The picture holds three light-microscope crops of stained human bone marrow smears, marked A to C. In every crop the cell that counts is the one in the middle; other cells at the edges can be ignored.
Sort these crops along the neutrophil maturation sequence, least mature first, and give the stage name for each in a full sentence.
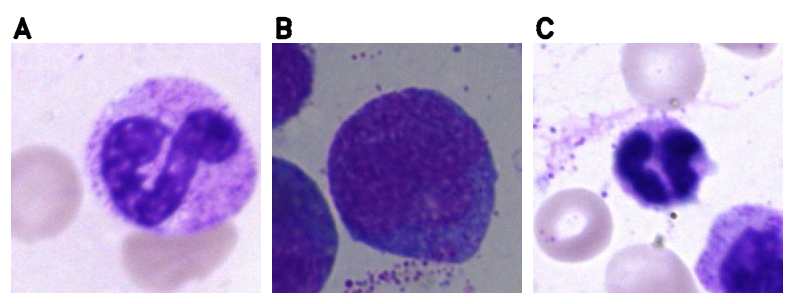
In terms of maturity, from lowest to highest, the order reads crop B (a promyelocyte), crop A (a band neutrophil) and crop C (a segmented neutrophil).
